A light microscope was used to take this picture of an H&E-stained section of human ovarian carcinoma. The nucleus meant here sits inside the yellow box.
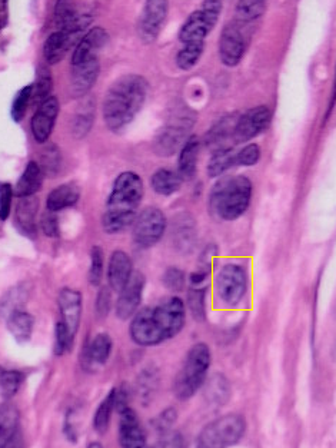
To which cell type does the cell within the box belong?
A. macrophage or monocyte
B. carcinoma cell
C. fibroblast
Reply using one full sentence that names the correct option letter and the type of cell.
Exactly as option A gives it, the cell within the box is a macrophage or monocyte.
